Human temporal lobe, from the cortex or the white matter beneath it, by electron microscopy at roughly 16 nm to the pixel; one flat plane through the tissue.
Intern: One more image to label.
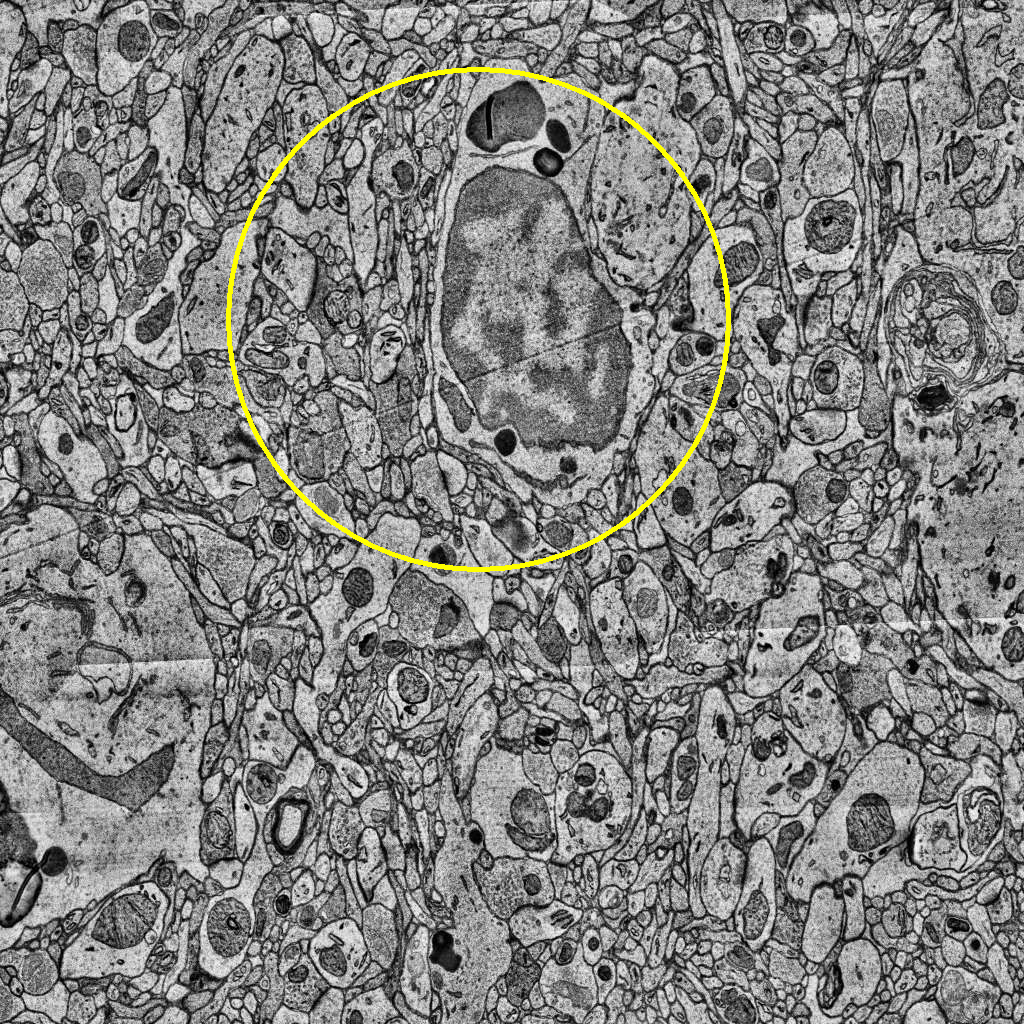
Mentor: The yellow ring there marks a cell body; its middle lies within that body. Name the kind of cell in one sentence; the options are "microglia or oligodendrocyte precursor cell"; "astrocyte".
The ring marks the cell body of a microglial cell or oligodendrocyte precursor cell.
